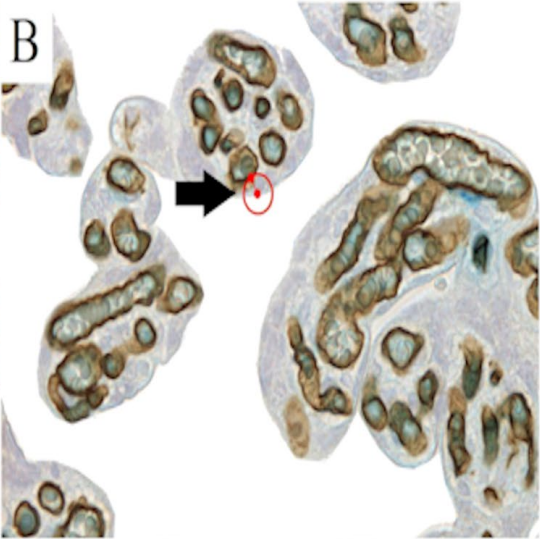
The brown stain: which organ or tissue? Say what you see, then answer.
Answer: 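The brown stain forms thin rings lining small round vessel lumens. The lumens enclosed by the brown rings contain red blood cells.
Answer: endothelium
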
